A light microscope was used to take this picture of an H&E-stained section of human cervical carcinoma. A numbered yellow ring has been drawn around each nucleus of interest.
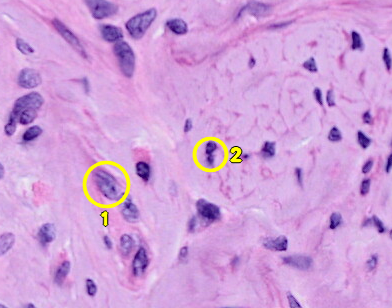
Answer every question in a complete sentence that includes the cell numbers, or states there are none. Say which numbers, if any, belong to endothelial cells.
None but cell 1 among the numbered cells is an endothelial cell.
